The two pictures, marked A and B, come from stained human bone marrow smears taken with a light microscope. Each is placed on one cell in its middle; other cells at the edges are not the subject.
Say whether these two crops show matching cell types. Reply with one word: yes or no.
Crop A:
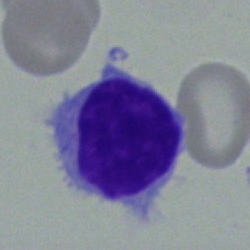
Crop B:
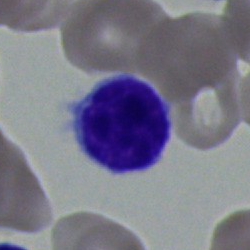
yes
